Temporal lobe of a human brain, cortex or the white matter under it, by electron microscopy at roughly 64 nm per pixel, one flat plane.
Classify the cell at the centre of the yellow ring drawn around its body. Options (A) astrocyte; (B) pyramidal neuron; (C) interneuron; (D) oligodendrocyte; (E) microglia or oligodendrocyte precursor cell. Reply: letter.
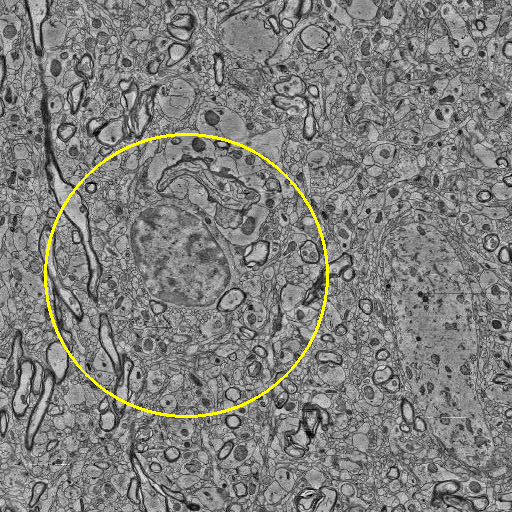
D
